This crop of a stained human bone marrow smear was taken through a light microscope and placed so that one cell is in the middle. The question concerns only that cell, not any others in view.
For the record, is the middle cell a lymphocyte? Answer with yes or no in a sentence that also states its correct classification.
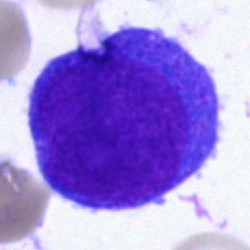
No, the cell located centrally is a blast rather than a lymphocyte.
